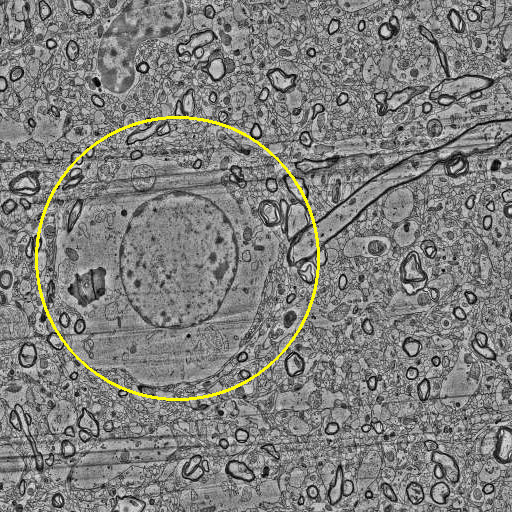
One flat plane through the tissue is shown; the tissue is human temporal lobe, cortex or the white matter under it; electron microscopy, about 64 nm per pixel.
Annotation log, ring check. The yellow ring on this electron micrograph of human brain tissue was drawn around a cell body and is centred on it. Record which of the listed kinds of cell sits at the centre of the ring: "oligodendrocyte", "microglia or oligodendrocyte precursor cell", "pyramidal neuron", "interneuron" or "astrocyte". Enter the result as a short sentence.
The cell at the centre of the ring is an astrocyte.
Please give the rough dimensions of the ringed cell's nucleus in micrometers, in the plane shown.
In this plane the nucleus measures roughly 9 by 7 micrometres.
